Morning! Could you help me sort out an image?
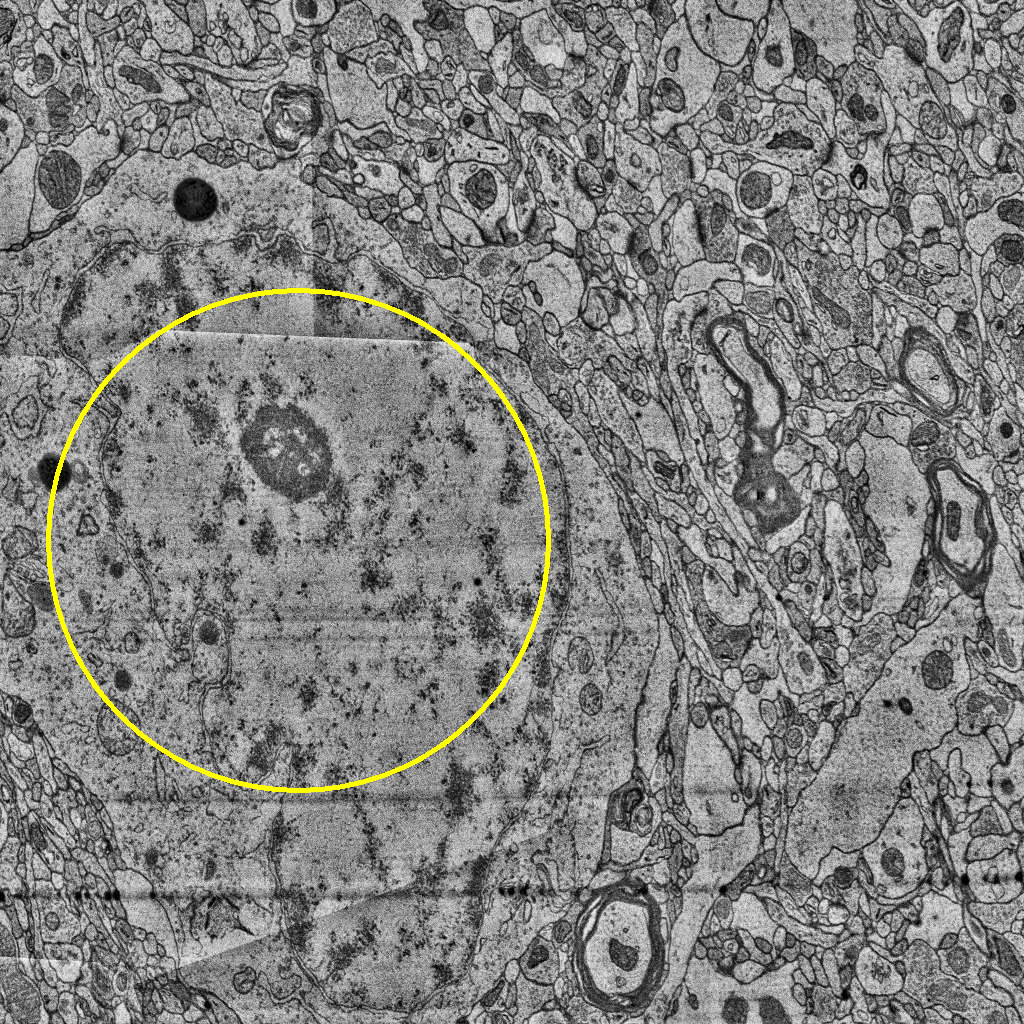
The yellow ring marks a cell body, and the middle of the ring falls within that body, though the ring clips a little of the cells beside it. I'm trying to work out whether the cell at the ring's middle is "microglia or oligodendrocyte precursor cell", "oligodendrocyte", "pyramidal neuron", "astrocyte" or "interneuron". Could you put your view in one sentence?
The cell body at the ring's middle is that of an interneuron.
